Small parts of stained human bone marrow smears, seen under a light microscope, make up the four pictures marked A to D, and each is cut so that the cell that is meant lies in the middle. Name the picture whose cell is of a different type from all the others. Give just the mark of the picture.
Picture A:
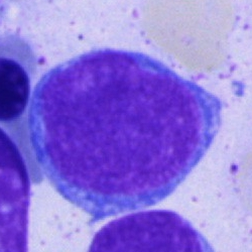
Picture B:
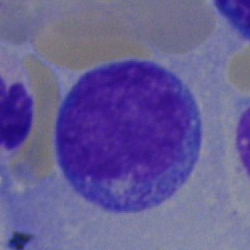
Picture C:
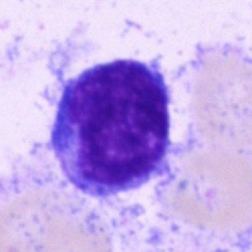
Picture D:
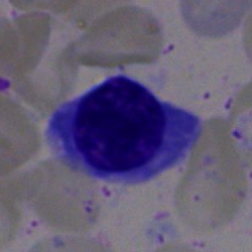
D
